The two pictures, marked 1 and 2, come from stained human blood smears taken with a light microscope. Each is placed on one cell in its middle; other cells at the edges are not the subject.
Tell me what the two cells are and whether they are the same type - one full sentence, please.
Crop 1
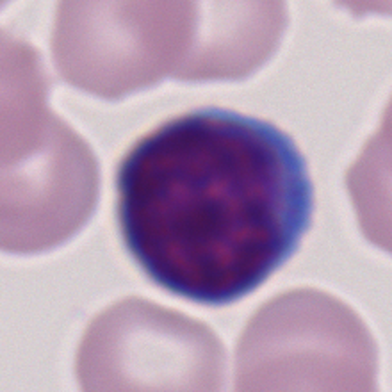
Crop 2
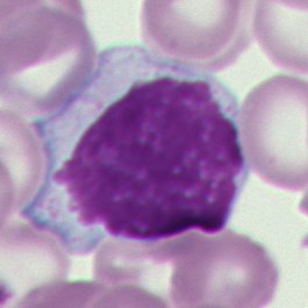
Yes, it is typical lymphocytes that occupy the middle of both crops.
